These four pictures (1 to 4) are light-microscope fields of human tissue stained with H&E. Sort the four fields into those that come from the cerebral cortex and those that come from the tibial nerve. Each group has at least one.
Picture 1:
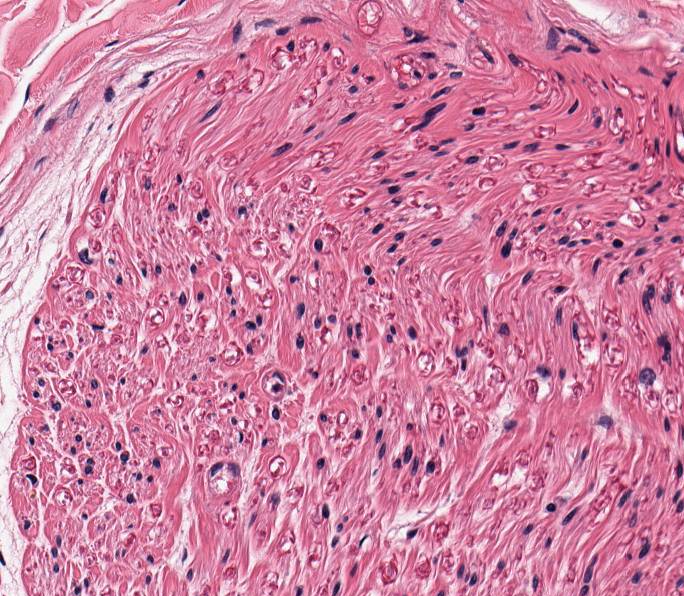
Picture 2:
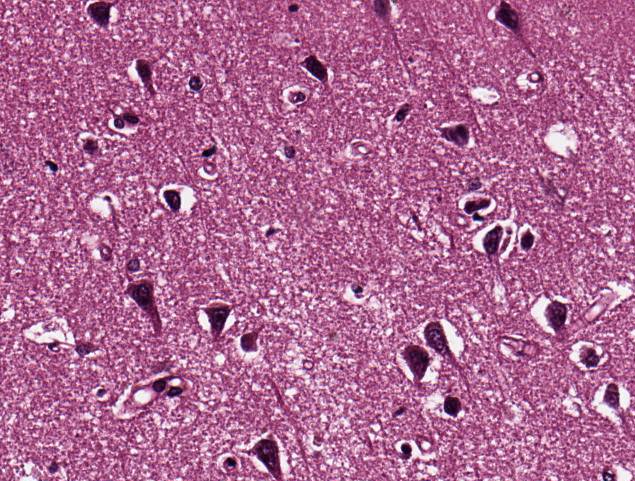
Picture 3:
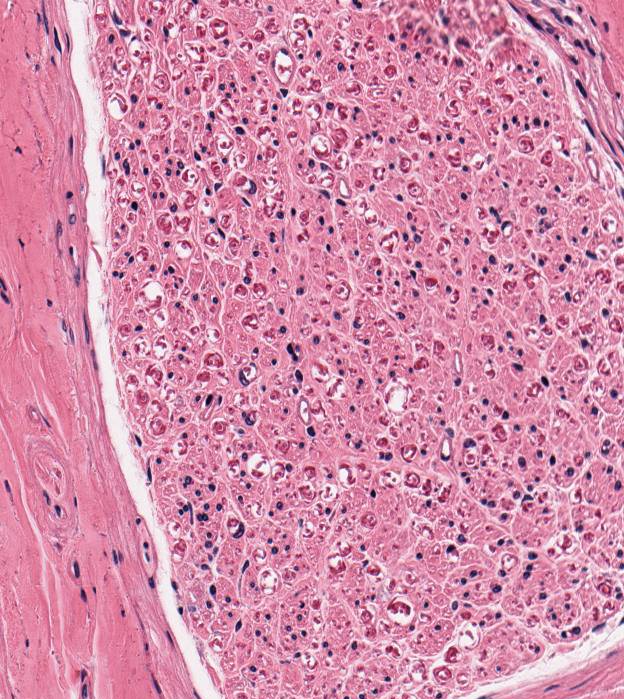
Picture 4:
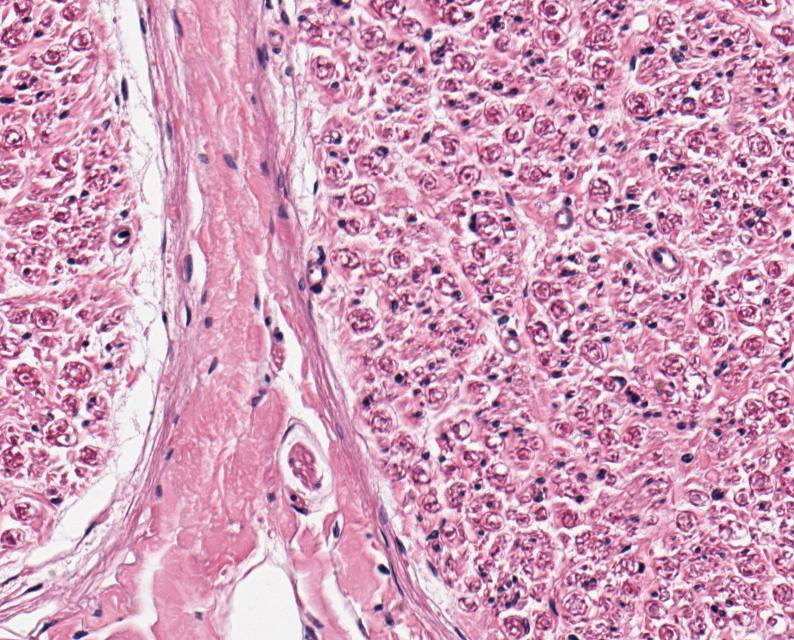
1: tibial nerve
2: cerebral cortex
3: tibial nerve
4: tibial nerve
